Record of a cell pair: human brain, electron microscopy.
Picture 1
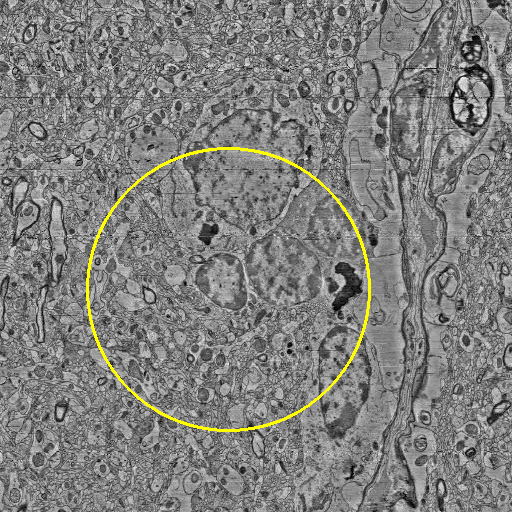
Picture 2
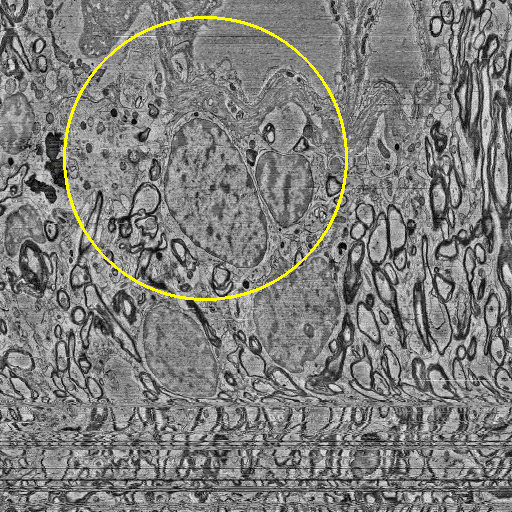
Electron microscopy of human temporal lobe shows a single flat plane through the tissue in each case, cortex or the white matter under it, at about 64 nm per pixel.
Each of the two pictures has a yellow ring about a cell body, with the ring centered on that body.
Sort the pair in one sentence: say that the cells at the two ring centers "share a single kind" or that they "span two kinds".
The cells centered in the rings of Pictures 1 and 2 share a single kind.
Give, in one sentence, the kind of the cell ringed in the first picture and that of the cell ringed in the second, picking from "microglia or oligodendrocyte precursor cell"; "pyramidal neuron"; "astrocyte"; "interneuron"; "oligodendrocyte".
Each of the two rings is centred on a microglial cell or oligodendrocyte precursor cell.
